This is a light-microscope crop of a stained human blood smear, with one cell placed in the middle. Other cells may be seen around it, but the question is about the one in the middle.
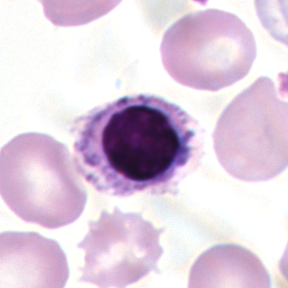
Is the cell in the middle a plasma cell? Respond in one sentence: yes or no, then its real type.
No, the central cell is not a plasma cell, being instead a normoblast.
